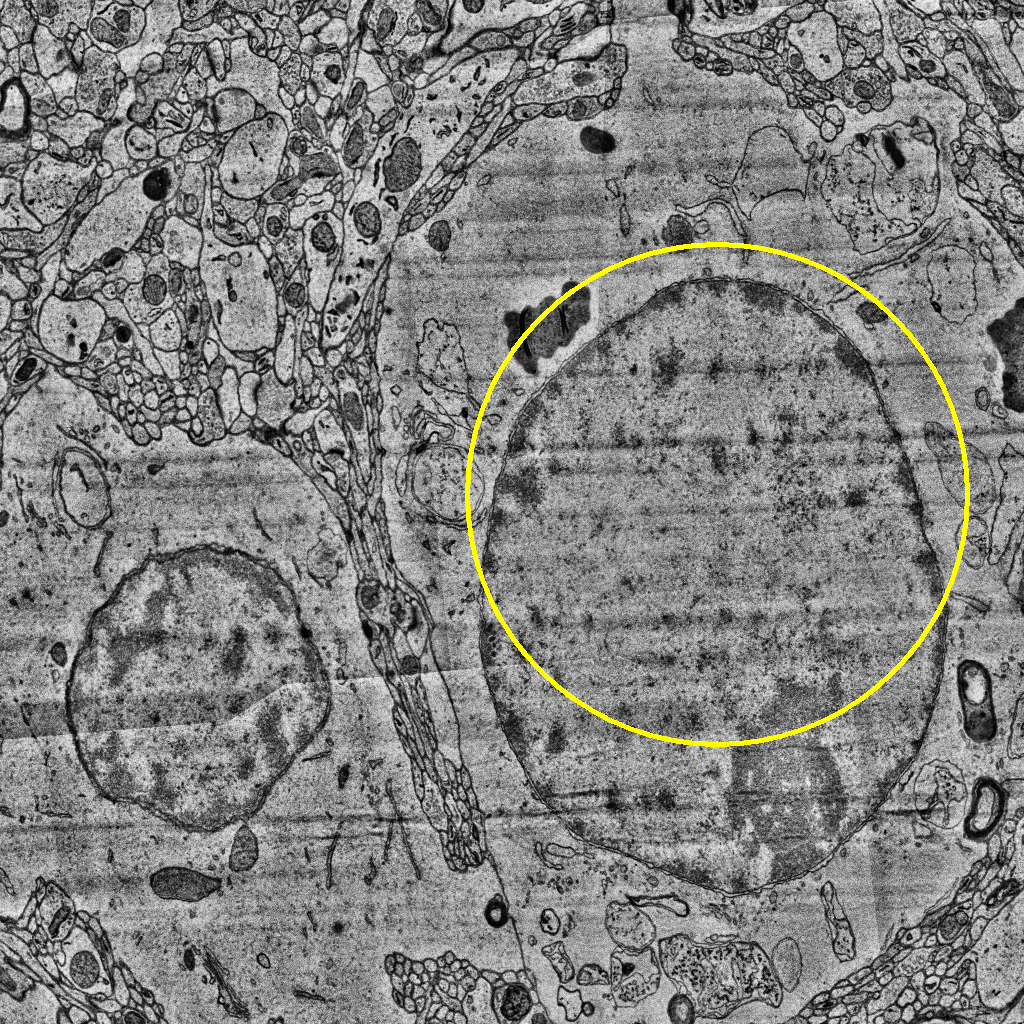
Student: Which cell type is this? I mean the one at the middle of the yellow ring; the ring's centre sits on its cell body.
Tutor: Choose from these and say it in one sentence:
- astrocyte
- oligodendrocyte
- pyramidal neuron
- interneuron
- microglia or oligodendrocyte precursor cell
The cell at the ring's centre is an astrocyte.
